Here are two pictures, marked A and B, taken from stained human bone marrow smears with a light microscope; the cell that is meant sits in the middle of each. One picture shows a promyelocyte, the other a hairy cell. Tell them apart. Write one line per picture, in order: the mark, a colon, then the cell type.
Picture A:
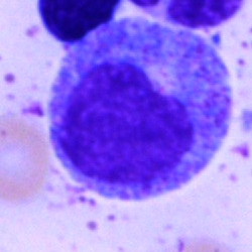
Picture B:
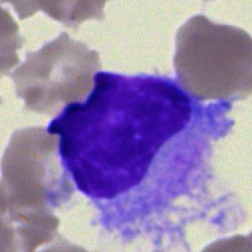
A: promyelocyte
B: hairy cell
